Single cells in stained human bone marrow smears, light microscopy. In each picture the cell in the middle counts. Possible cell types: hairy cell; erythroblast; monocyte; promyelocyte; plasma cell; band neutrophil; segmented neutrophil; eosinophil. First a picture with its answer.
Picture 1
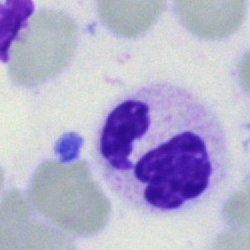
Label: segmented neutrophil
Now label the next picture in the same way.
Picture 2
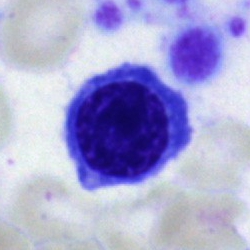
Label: erythroblast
